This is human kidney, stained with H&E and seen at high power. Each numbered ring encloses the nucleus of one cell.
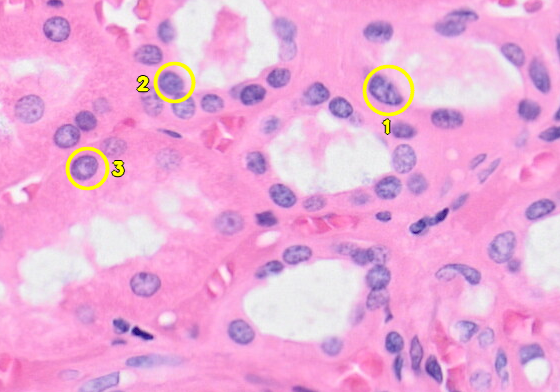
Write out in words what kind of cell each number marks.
Cells 1 and 2 are collecting duct cells. Cell 3 is a proximal tubule cell.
